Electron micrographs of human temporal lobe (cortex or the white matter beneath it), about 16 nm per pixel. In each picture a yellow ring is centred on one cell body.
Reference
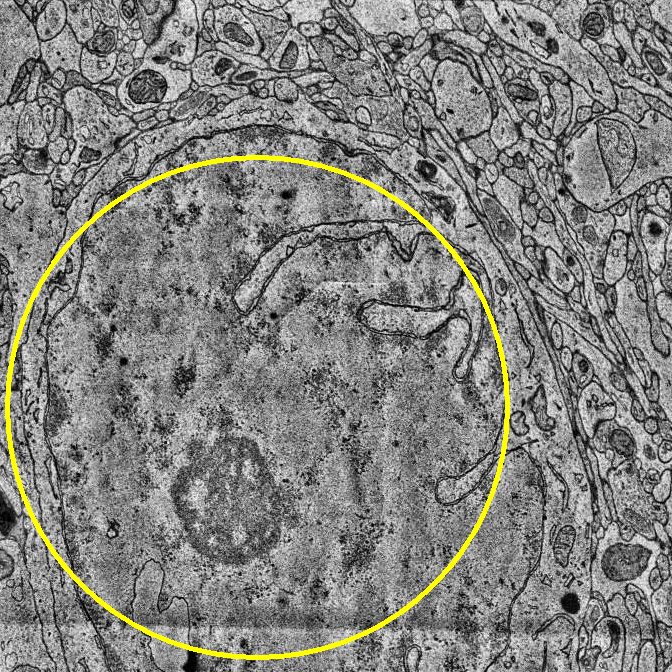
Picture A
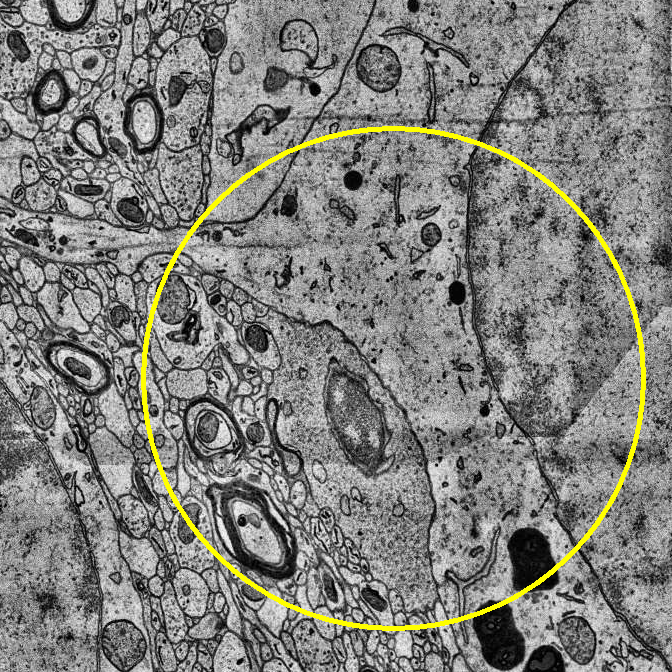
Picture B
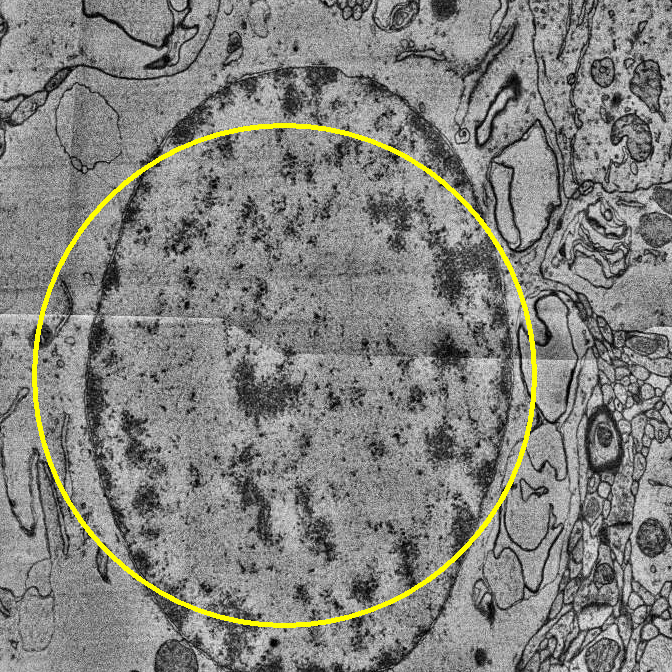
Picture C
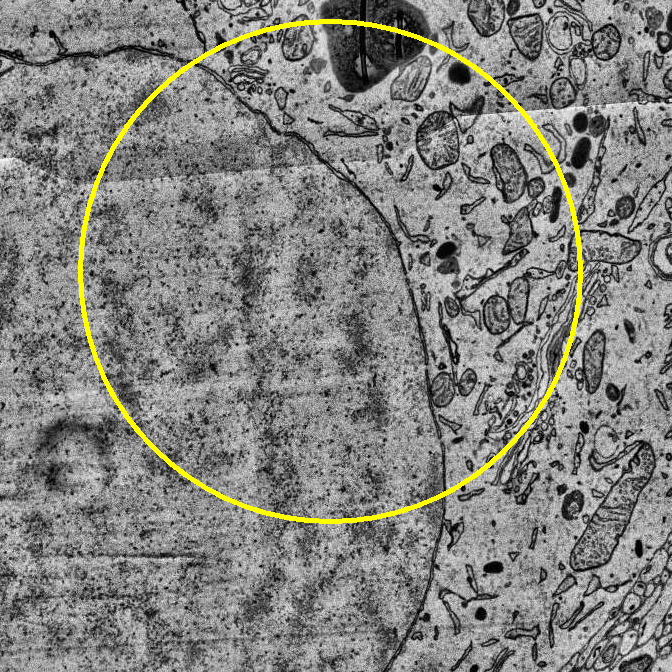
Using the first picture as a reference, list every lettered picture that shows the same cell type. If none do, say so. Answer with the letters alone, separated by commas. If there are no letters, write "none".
C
